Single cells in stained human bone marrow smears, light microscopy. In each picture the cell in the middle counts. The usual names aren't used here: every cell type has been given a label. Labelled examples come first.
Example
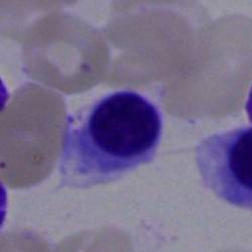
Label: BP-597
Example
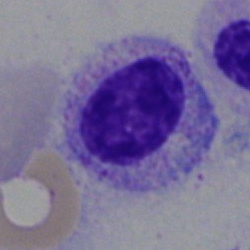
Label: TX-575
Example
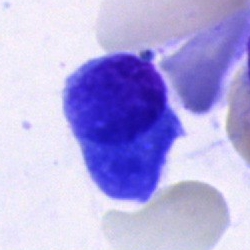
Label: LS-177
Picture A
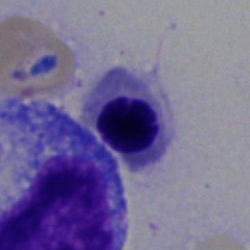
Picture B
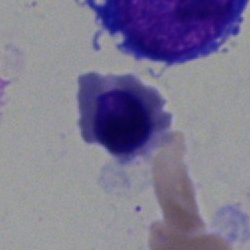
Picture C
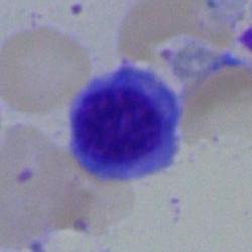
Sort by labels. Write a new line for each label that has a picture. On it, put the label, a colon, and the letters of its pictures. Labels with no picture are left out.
BP-597: A, B, C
